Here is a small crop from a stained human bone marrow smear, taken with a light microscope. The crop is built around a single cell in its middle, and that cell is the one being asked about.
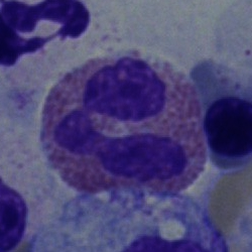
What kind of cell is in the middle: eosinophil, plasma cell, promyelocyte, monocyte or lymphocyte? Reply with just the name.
eosinophil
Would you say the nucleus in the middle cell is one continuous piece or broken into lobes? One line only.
Look at the nucleus and you will find it divided into two or more lobes.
